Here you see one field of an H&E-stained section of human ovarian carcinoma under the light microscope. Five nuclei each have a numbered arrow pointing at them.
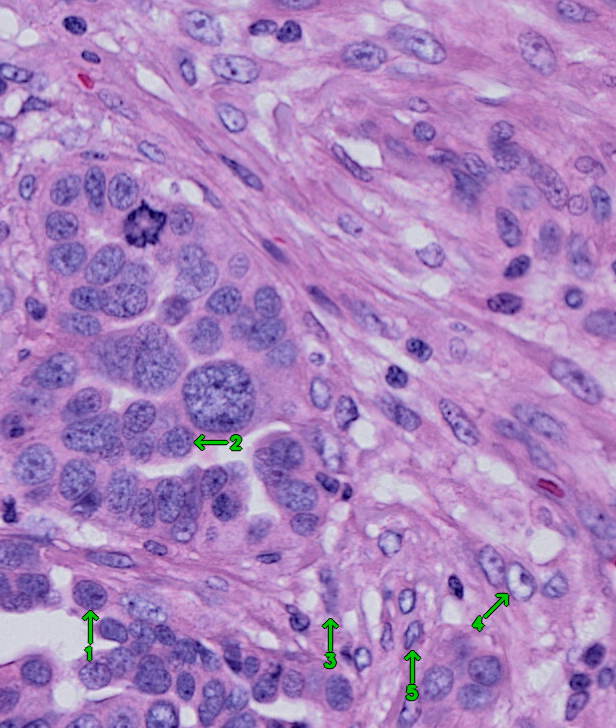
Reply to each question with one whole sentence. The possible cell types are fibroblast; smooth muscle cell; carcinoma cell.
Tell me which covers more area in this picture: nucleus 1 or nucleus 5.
Nucleus 1 covers more area, about 2 times as much as nucleus 5.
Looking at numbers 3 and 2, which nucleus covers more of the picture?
Number 2 is larger; its area is about 2 times that of number 3.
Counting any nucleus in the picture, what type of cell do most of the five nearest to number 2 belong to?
Of the five nuclei nearest to number 2, most belong to carcinoma cells.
